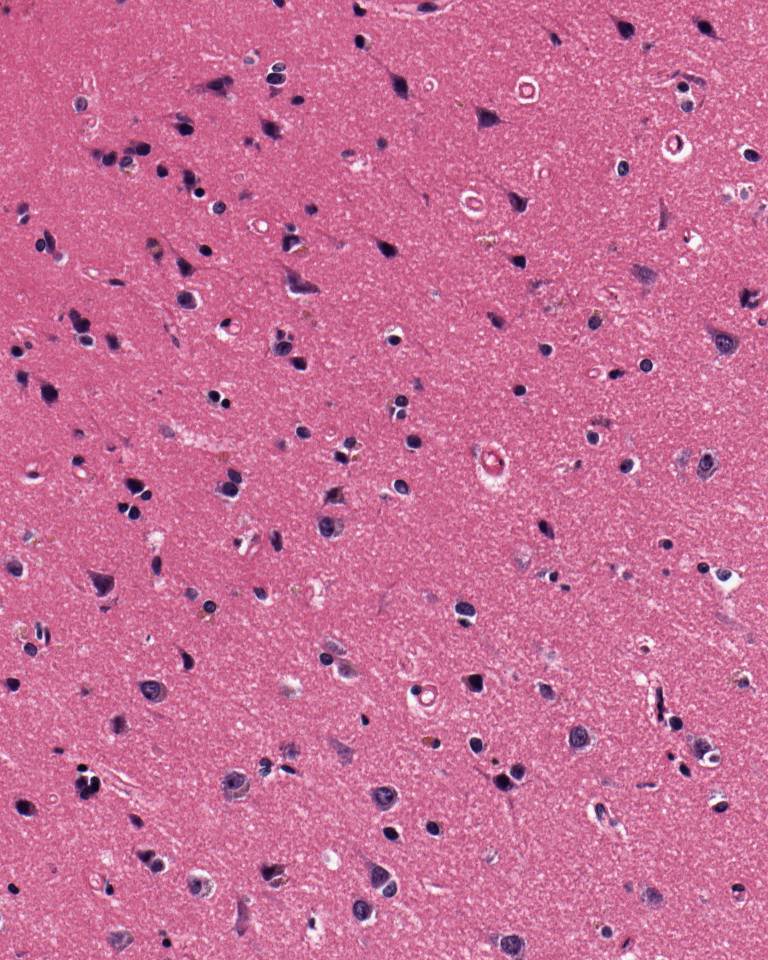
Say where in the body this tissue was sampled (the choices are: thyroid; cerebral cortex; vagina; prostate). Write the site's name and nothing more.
cerebral cortex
